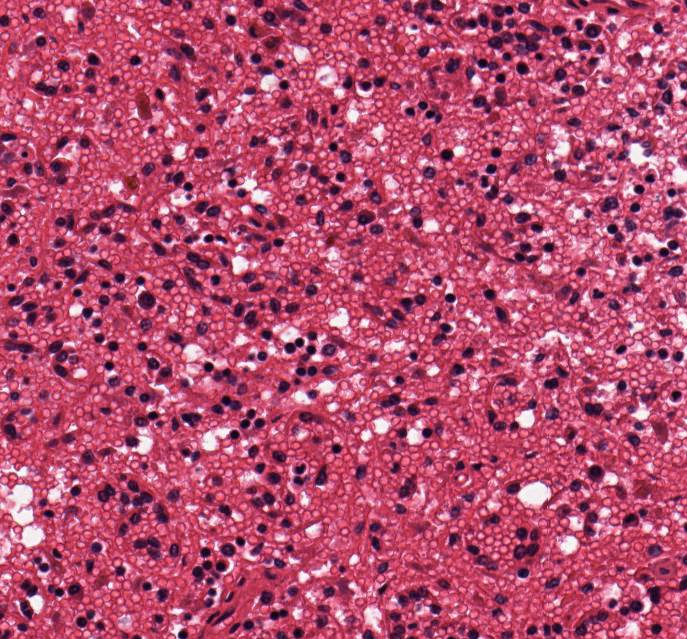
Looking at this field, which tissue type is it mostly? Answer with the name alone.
red pulp of the spleen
